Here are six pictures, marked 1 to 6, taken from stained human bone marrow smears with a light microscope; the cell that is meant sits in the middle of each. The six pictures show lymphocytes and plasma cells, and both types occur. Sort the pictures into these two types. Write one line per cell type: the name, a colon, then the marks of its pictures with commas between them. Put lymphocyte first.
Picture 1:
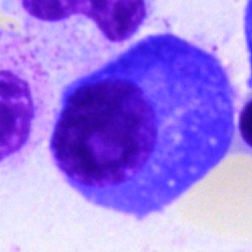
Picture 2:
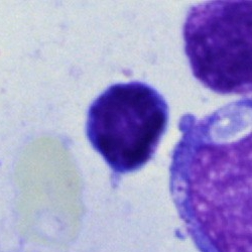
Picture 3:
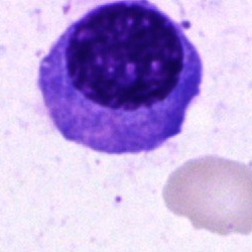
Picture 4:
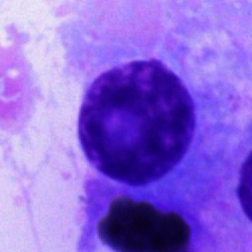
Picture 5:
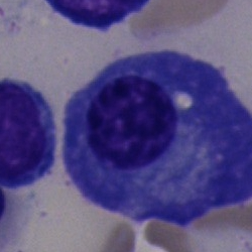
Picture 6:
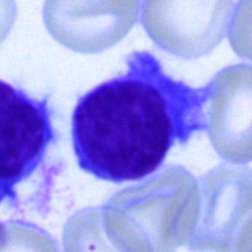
lymphocyte: 2, 6
plasma cell: 1, 3, 4, 5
